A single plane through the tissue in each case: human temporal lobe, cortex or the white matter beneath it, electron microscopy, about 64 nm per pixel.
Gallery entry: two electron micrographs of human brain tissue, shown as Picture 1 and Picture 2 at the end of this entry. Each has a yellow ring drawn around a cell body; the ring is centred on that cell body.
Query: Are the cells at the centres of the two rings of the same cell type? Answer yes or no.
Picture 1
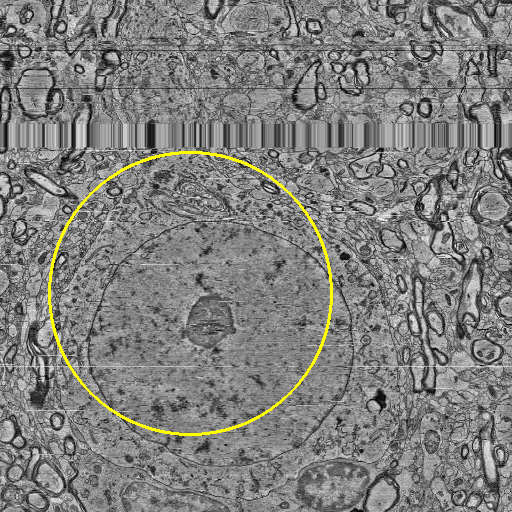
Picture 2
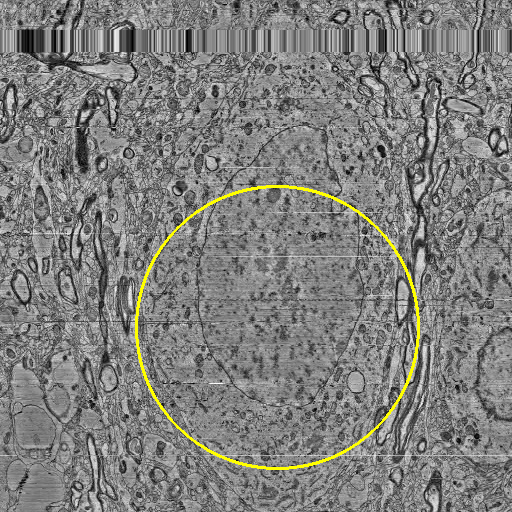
yes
